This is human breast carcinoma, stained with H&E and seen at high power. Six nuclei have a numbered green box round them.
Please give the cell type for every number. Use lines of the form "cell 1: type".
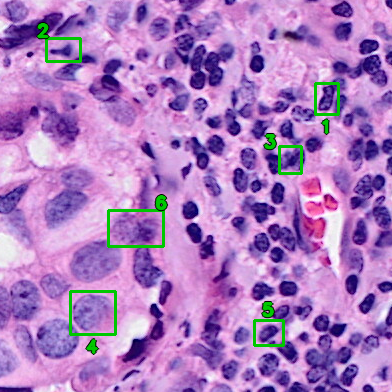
cell 1: lymphocyte
cell 2: lymphocyte
cell 3: lymphocyte
cell 4: carcinoma cell
cell 5: lymphocyte
cell 6: carcinoma cell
